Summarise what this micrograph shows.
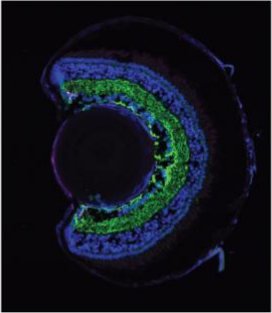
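A section through the retina curves as a cup around a round, dark lens at its left. Blue-stained nuclei form distinct stacked layers, with a thick outer nuclear band at the back of the cup. Green fluorescence occupies the inner layers of the retina, facing the lens. Magenta label is sparse: little or none is seen along most of the innermost ganglion cell layer, with only faint label near the peripheral edge of the retina.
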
